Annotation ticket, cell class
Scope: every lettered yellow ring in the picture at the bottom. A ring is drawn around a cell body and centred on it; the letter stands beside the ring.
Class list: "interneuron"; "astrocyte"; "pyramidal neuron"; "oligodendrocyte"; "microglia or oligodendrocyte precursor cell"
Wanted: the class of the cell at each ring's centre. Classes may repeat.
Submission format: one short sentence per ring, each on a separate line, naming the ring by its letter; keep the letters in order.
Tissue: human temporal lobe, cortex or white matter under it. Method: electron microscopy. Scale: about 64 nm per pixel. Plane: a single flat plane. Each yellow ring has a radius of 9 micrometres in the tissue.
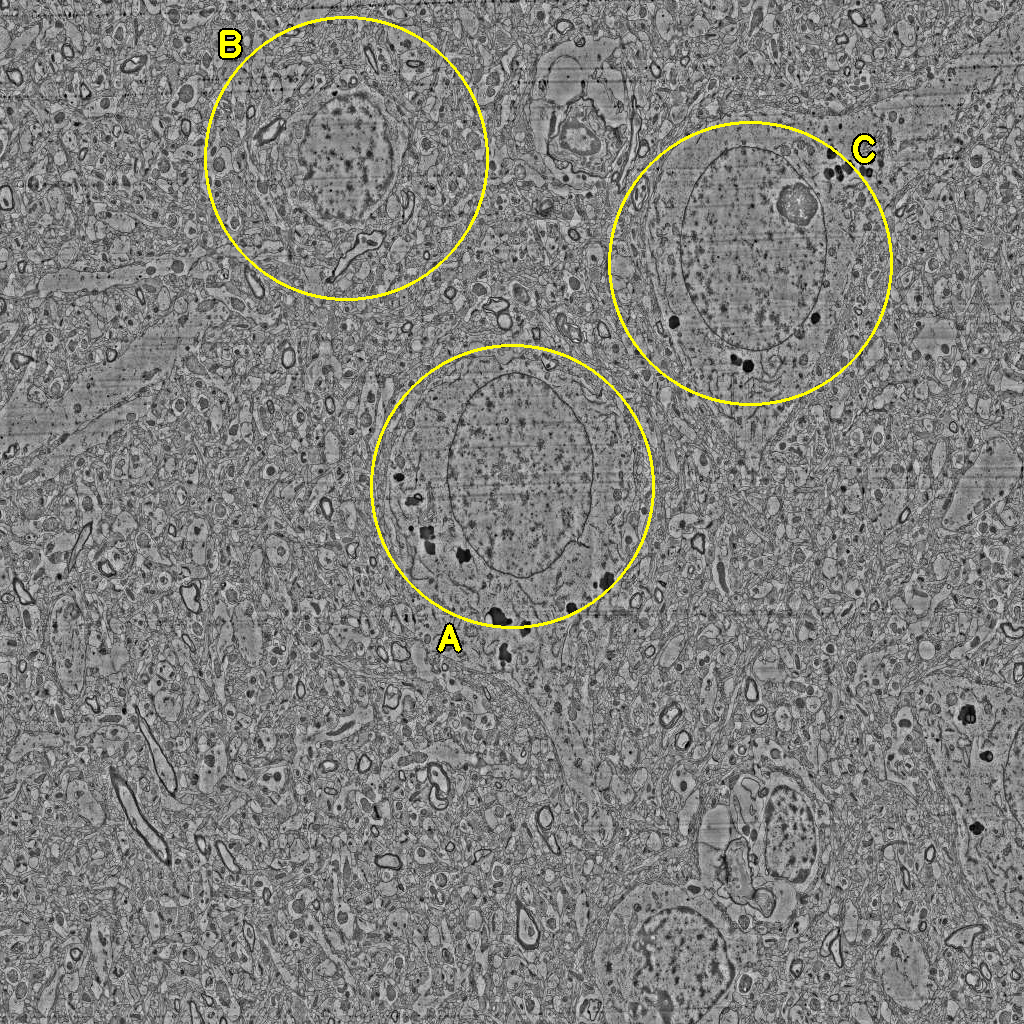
The centre of ring A is occupied by a pyramidal neuron.
The centre of ring B is occupied by an interneuron.
The centre of ring C is occupied by a pyramidal neuron.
